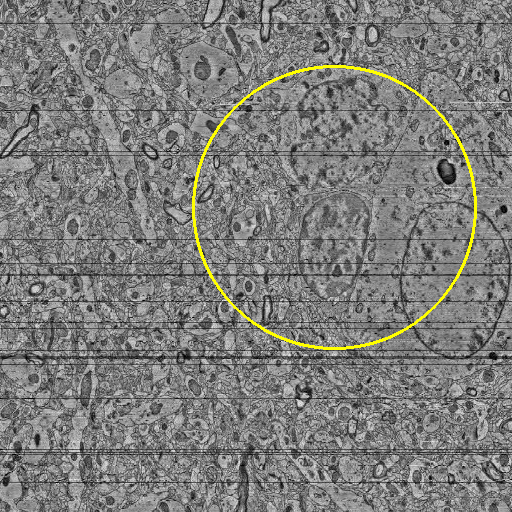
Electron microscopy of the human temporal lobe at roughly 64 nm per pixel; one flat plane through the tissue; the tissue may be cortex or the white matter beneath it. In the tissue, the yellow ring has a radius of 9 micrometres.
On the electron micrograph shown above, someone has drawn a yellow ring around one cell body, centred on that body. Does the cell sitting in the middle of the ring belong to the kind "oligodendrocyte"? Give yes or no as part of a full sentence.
Yes, the cell located in the middle of the ring in the micrograph is of that kind.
